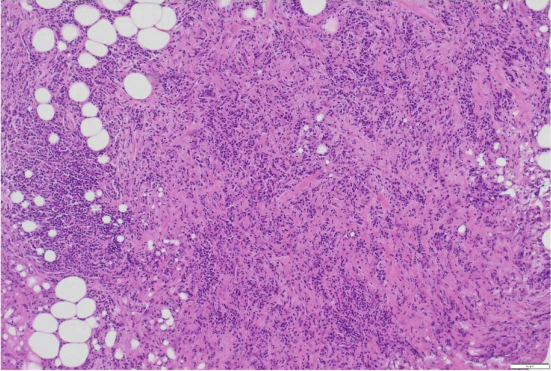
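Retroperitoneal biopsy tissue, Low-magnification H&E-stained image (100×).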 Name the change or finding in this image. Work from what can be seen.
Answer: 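Pink wavy fibrous stroma fills much of the field. Dense sheets of small dark round nuclei lie among the fibres. Fat cells are trapped at the edges of the fibrous tissue. So: fibrosis and lymphocyte infiltration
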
